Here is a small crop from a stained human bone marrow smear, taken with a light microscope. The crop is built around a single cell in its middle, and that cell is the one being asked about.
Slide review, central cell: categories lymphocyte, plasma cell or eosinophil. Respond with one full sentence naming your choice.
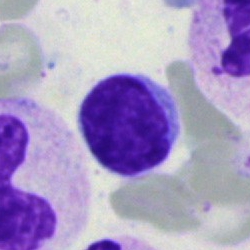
The central cell shown in this smear crop is a lymphocyte.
